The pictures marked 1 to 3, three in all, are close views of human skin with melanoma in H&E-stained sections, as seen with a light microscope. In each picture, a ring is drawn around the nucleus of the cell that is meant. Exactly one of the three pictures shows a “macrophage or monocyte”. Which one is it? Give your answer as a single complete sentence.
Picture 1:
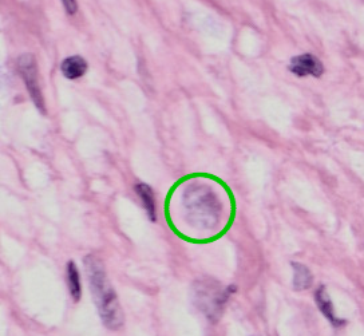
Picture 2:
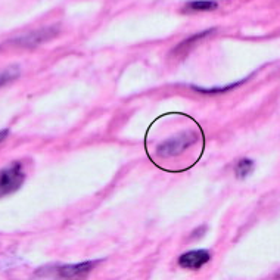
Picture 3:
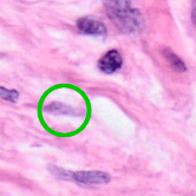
Picture 2 shows the “macrophage or monocyte”.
